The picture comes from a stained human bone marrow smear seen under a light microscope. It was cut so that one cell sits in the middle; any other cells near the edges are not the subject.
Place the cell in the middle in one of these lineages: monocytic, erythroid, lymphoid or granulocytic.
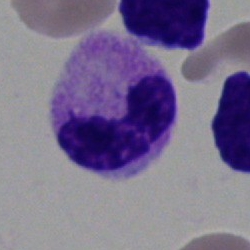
granulocytic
